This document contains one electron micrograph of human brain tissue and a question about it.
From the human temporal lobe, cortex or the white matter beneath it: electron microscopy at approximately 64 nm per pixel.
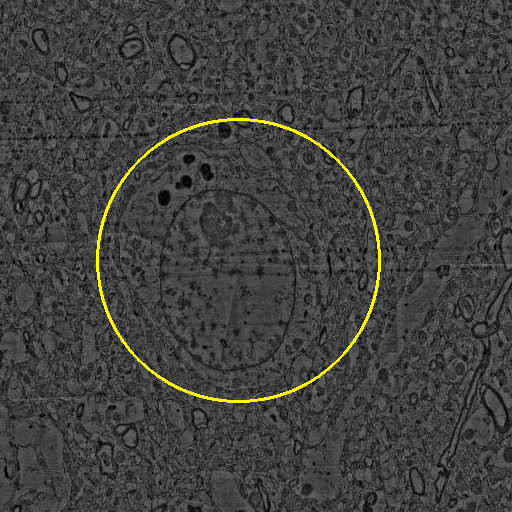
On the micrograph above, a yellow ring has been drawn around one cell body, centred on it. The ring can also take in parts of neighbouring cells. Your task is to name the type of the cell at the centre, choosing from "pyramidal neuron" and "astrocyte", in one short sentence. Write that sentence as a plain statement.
Here the ring is centred on a pyramidal neuron.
